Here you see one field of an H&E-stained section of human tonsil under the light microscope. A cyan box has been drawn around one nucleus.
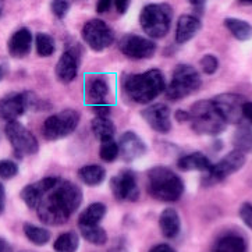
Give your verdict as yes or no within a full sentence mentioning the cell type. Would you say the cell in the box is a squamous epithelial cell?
No, the cell in the box is recorded as a proliferating B cell instead of a squamous epithelial cell.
